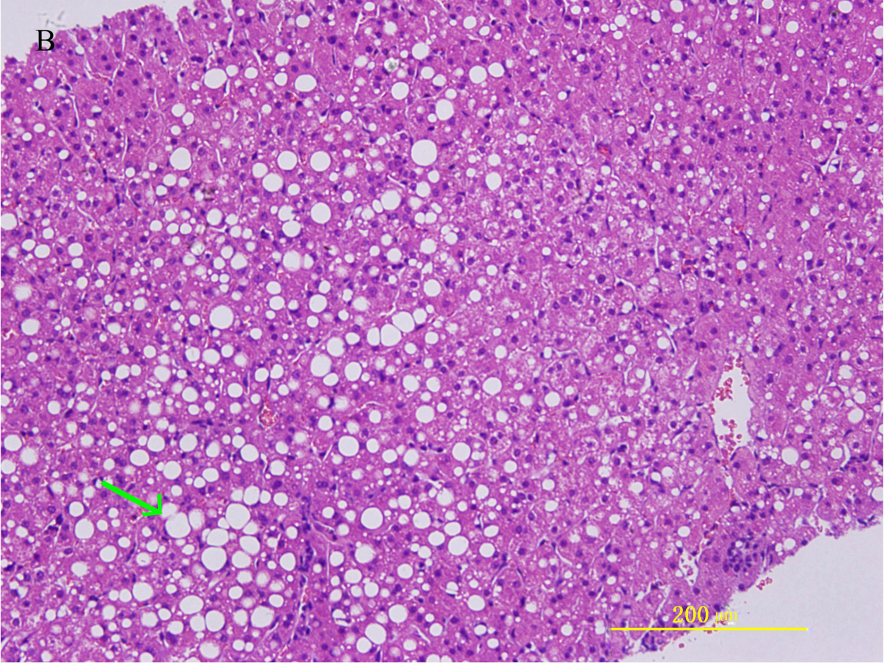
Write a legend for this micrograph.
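This is liver tissue in which many hepatocytes contain sharply round, clear, empty-looking vacuoles, ranging from tiny droplets to large ones filling almost the whole cell. The vacuoles are most crowded on the left side of the field, while a vessel containing red blood cells lies at the lower right with a small cluster of dark nuclei nearby.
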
